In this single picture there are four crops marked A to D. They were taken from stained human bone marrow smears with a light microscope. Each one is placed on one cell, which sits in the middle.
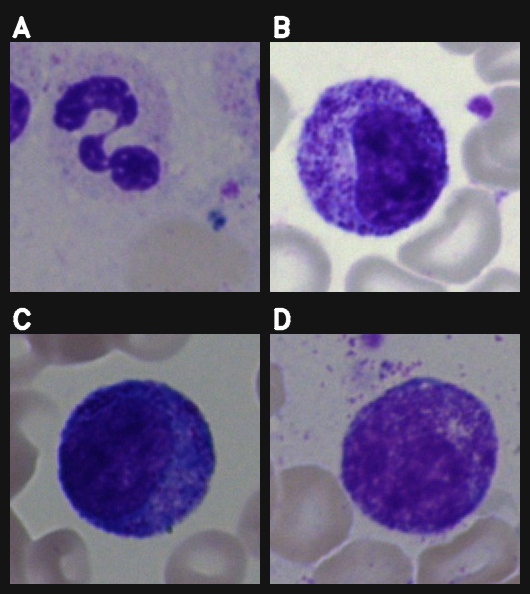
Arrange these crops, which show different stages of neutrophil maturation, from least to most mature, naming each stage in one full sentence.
The cells, arranged from least to most mature, are crop C (a promyelocyte), crop B (a myelocyte), crop D (a metamyelocyte) and crop A (a segmented neutrophil).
